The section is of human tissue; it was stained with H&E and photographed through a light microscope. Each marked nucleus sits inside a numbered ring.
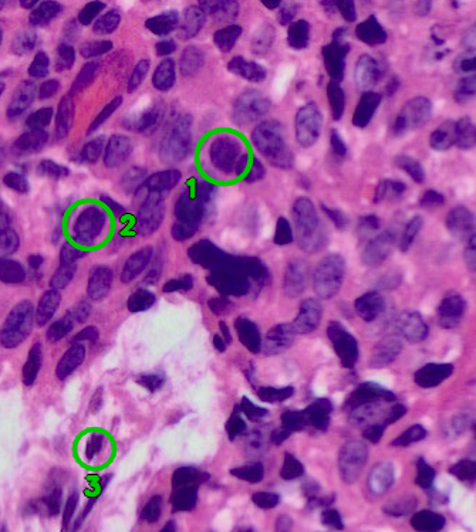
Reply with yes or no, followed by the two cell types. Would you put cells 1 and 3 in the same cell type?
No, as to type, cell 1 is a carcinoma cell, and cell 3 is a fibroblast.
